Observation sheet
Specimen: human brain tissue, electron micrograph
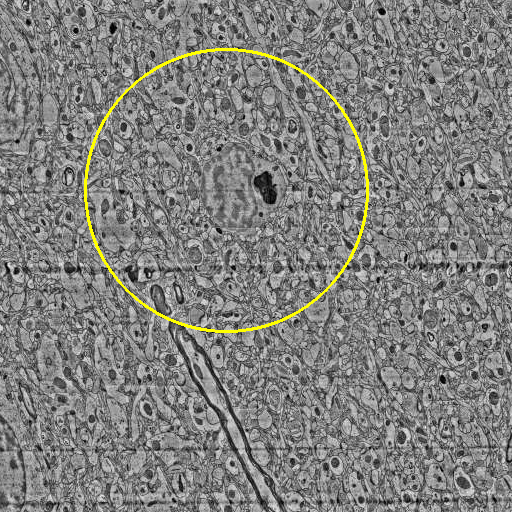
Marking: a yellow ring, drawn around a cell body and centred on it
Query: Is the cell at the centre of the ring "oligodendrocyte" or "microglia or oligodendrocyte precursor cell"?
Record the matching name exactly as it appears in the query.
oligodendrocyte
